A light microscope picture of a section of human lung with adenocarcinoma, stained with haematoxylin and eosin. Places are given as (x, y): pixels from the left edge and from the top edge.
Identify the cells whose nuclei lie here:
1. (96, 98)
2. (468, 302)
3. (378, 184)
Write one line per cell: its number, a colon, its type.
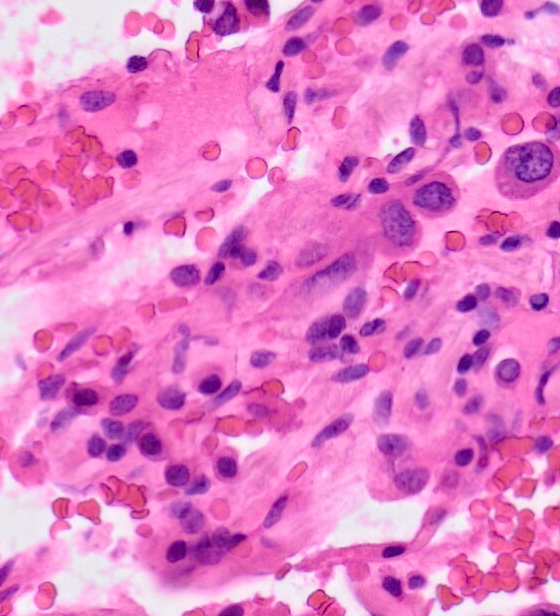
1: type I pneumocyte
2: lymphocyte
3: lymphocyte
